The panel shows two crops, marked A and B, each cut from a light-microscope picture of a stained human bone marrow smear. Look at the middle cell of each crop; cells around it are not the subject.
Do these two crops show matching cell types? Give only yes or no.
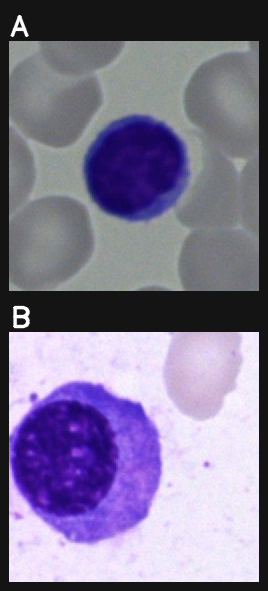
no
